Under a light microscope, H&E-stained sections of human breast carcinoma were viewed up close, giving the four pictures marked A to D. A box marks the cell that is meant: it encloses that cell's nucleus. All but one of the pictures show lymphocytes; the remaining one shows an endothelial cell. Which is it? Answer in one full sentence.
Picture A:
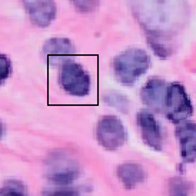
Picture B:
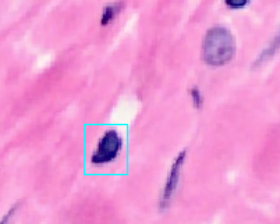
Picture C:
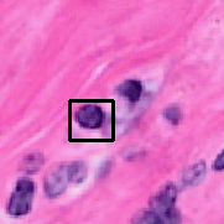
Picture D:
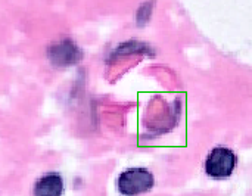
The picture with the endothelial cell is D.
